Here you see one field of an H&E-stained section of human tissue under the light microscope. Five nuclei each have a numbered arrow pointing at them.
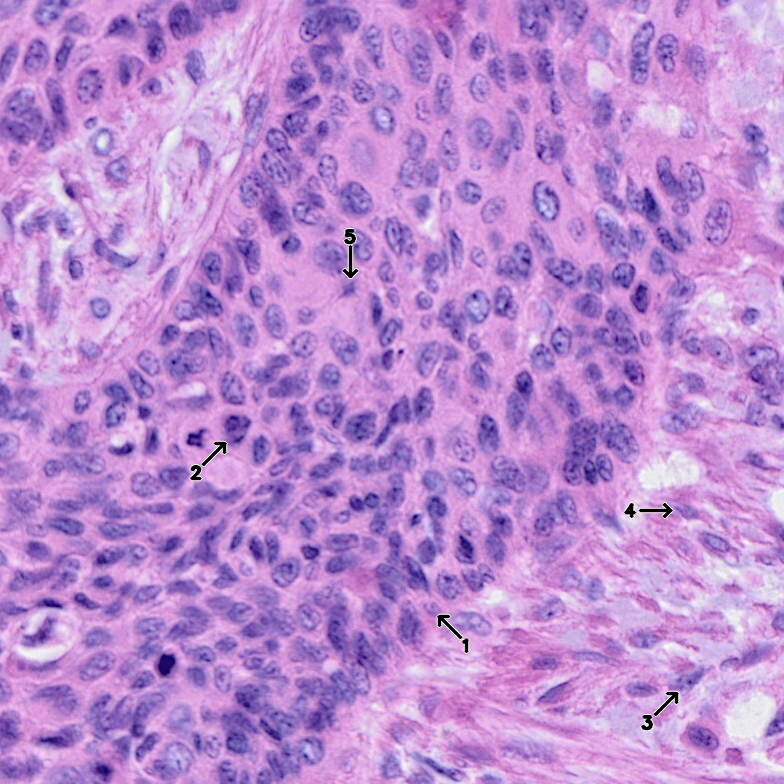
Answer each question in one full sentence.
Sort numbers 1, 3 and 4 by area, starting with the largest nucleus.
Going from the biggest nucleus down to the smallest gives 3, 4, 1.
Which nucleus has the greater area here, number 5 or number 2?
It is nucleus 2, which covers about 3 times the area of nucleus 5.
